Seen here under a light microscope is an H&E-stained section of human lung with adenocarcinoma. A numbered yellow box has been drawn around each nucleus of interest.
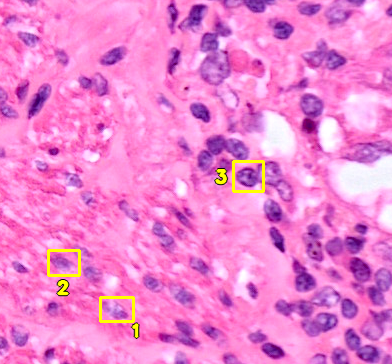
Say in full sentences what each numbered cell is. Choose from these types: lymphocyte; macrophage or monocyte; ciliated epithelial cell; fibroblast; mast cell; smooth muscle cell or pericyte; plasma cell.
Cell 1 is a smooth muscle cell or pericyte, cell 2 is a smooth muscle cell or pericyte and cell 3 is a lymphocyte.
